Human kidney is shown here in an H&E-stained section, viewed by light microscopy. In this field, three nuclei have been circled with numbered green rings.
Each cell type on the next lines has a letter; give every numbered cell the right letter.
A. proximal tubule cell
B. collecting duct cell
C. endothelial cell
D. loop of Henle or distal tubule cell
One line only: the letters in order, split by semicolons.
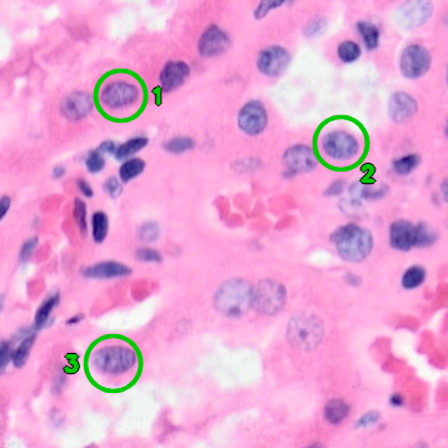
A; D; A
